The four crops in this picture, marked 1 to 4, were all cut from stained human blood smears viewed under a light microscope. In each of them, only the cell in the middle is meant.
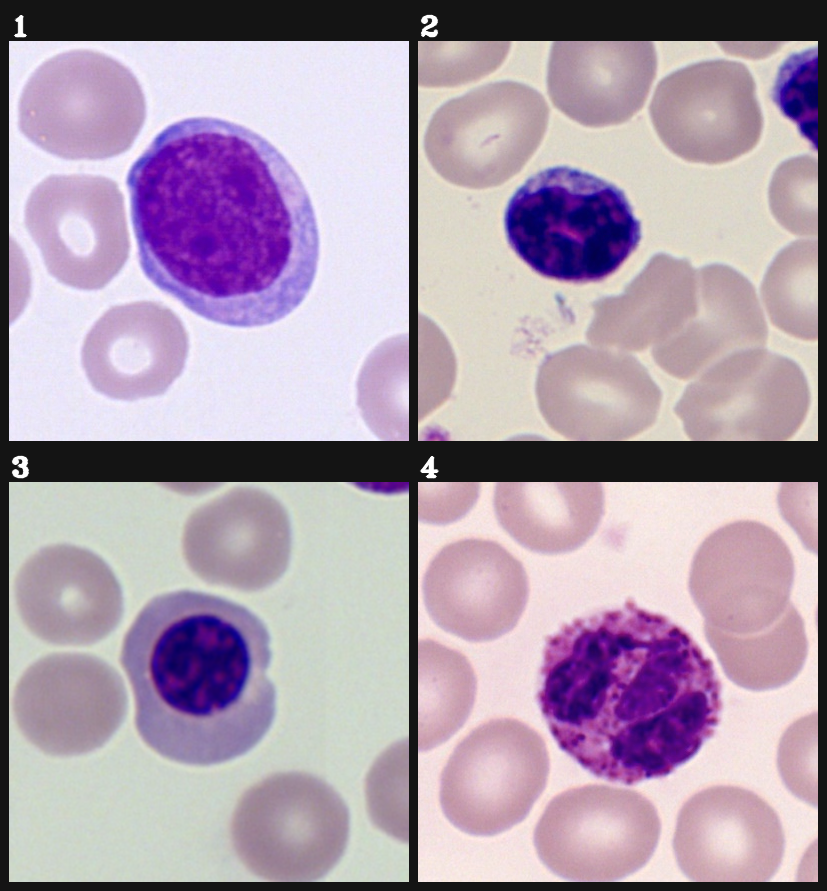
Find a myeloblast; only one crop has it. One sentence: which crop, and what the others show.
Going crop by crop, crop 1 is a myeloblast, while crop 2 is a lymphocyte, crop 3 is an erythroblast and crop 4 is a basophil.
